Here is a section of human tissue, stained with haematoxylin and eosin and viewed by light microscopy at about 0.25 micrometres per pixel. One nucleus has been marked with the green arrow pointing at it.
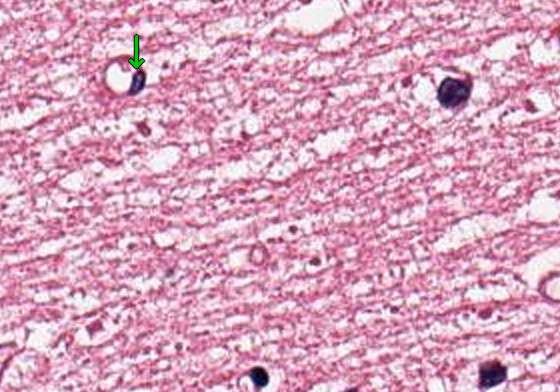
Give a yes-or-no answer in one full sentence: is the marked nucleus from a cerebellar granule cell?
No, the marked nucleus forms part of a supporting cell instead of a cerebellar granule cell.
